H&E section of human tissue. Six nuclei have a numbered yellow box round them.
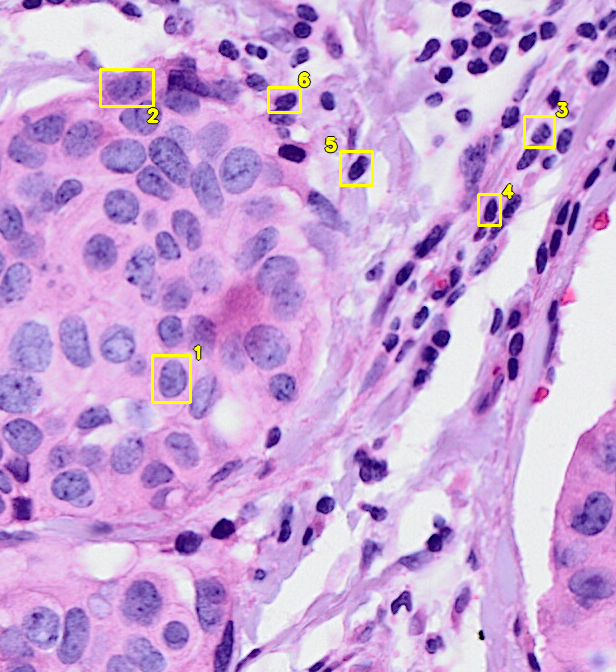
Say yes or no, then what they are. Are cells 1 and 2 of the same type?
Yes, cells 1 and 2 are both identified as carcinoma cells.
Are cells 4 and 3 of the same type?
Yes, cells 4 and 3 are both lymphocytes and thus of one type.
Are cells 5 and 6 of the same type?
Yes, both cells 5 and 6 are lymphocytes.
